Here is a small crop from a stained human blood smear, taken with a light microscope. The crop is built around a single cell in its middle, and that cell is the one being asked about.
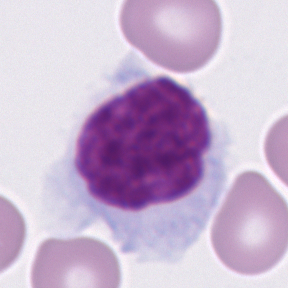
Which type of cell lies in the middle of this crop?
hairy cell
